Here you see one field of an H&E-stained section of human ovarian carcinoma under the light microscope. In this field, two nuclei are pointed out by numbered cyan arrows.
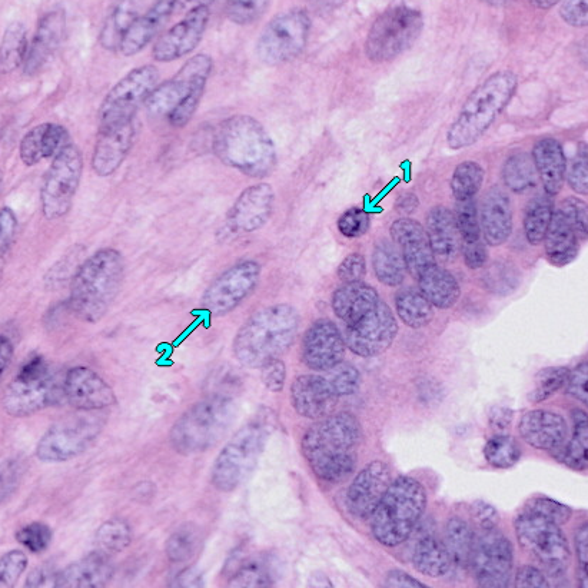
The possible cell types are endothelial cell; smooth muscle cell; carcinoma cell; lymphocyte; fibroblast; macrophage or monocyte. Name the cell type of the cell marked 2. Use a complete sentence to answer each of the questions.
Among the marked nuclei, number 2 belongs to a fibroblast.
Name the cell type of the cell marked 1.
Cell 1 of the marked set is a lymphocyte.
